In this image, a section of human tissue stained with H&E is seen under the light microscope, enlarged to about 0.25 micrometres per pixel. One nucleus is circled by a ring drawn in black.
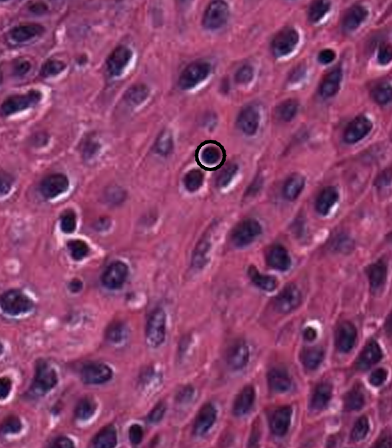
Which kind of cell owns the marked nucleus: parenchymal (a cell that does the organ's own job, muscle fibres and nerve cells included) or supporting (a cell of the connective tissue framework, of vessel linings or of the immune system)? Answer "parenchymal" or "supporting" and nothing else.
supporting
